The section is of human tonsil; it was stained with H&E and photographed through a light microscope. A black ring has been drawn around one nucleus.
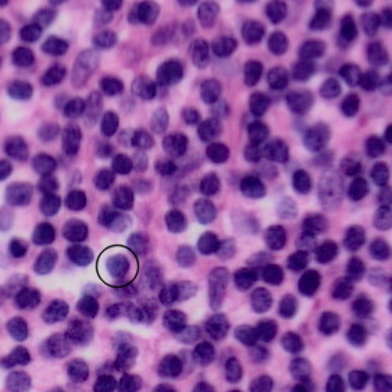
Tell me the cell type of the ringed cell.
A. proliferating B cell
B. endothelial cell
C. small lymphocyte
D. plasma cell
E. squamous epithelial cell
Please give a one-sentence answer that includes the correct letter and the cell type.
Option C names the ringed cell correctly as a small lymphocyte.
